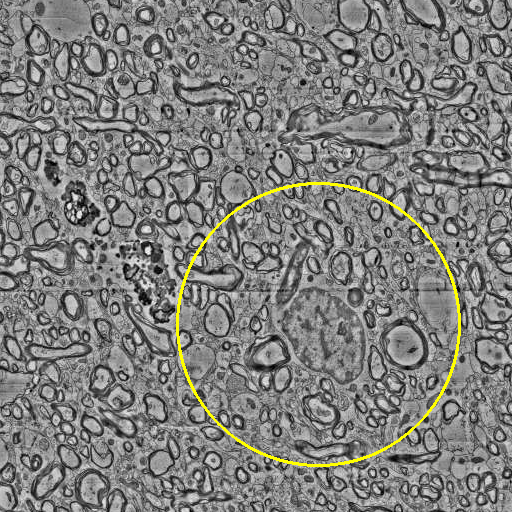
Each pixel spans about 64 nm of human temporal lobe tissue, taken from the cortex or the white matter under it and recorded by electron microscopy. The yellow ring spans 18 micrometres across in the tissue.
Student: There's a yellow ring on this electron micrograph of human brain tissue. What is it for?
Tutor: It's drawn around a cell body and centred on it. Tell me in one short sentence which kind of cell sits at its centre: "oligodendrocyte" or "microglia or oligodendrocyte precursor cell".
The cell at the centre of the ring is an oligodendrocyte.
